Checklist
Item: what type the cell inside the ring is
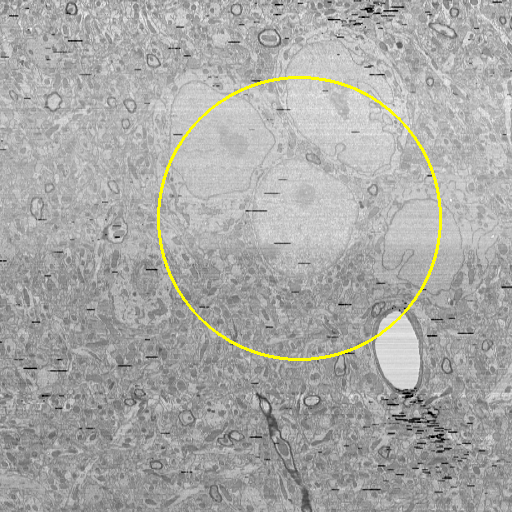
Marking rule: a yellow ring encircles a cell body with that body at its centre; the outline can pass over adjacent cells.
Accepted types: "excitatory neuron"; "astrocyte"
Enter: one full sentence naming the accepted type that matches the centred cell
The entry is that an astrocyte lies at the centre of the yellow ring.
